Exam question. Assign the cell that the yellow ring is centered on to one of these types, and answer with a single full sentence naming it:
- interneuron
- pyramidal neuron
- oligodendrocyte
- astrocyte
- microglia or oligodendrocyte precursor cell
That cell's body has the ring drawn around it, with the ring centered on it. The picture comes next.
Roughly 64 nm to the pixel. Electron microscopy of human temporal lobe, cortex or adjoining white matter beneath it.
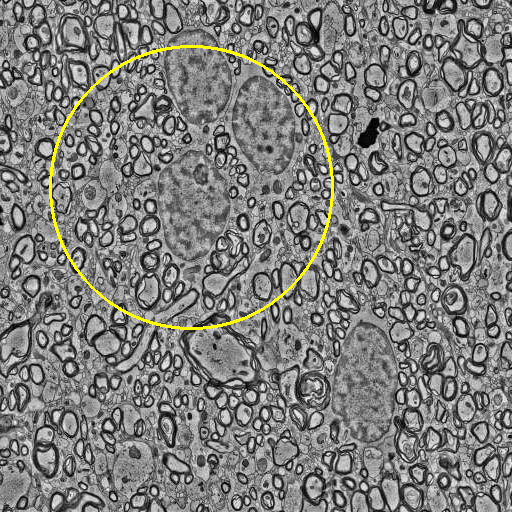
In the micrograph, the cell the yellow ring is centered on is an oligodendrocyte.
